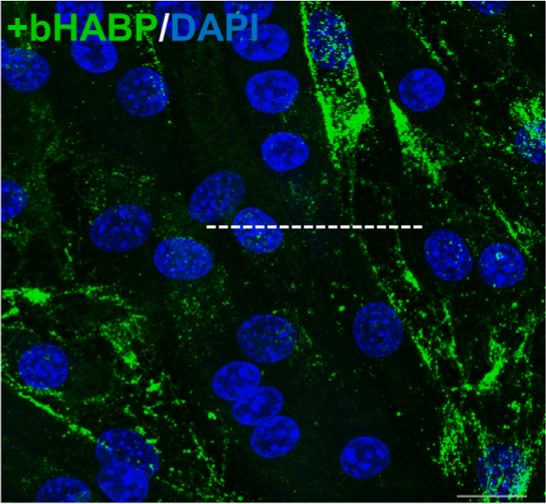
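Broad bands run diagonally across the picture, outlined and covered by green granules and streaks. Blue oval nuclei lie among them, several arranged along the length of the elongated structures. The green staining is granular and widespread, reaching over most of the field rather than one small patch.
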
